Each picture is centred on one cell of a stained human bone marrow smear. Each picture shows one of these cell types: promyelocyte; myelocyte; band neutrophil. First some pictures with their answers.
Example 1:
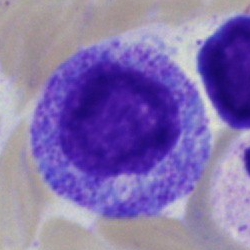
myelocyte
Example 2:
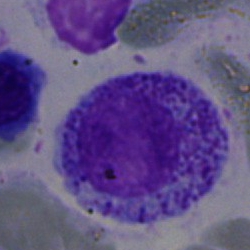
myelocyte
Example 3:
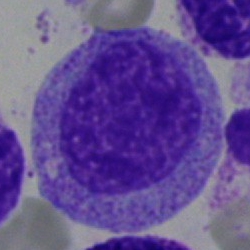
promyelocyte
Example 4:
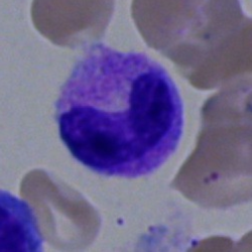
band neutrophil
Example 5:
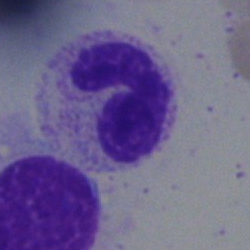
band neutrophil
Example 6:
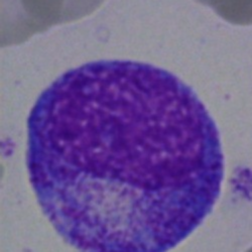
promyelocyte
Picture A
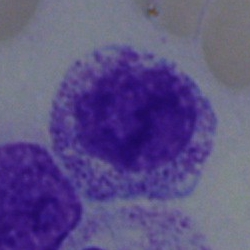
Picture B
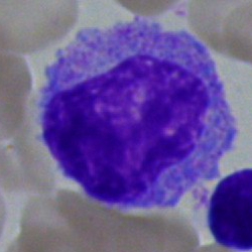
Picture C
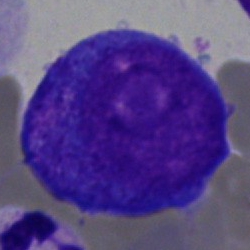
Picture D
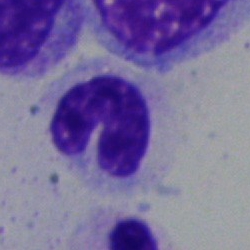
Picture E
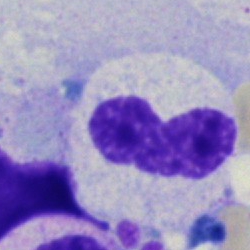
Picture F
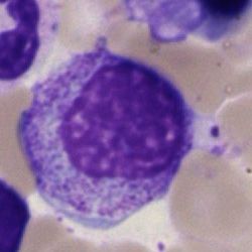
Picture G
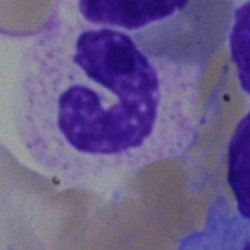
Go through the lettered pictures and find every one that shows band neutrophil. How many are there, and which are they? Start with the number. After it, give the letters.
3, namely D, E, G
